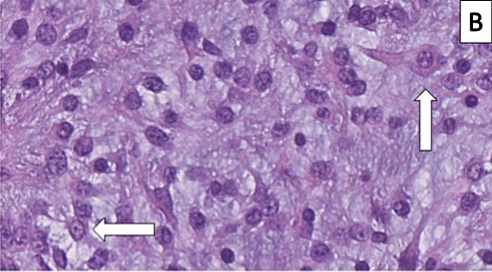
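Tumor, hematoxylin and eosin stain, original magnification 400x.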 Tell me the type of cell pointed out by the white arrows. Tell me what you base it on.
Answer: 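The marked cells have round nuclei with a visible nucleolus. They have more pink cytoplasm than the small round cells around them. They sit in a pale, loose background.
Conclusion: floating neurons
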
